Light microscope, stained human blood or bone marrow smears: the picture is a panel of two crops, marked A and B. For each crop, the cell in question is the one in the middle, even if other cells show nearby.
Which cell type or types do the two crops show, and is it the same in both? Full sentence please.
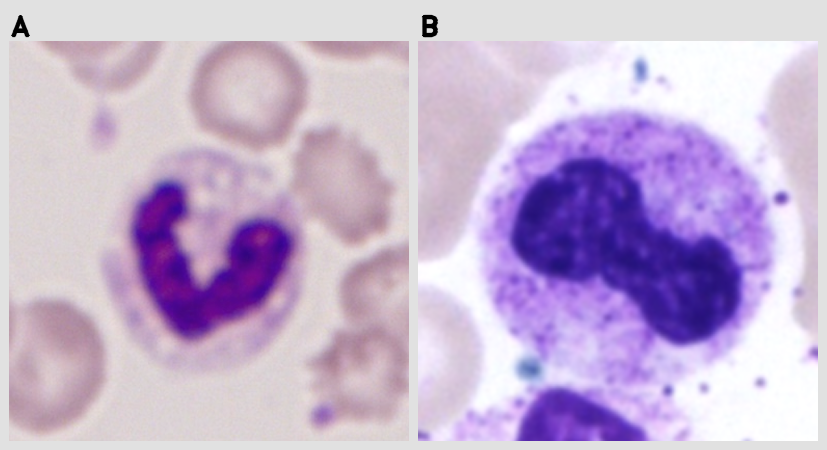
Yes, both crops show band neutrophils at their middles.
